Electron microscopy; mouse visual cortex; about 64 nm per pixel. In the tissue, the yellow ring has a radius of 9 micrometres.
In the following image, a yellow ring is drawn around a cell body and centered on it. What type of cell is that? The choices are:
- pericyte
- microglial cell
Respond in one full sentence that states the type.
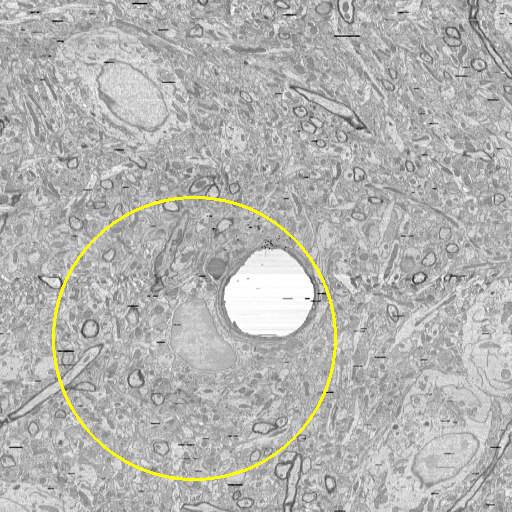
The cell at the center of the yellow ring in the image is a microglial cell.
